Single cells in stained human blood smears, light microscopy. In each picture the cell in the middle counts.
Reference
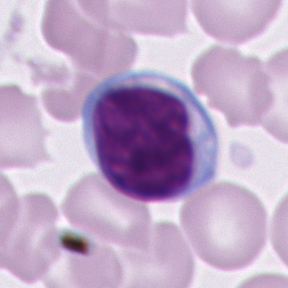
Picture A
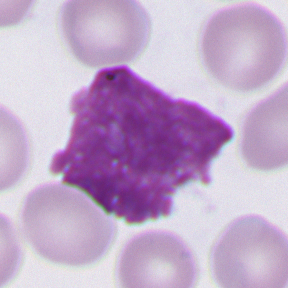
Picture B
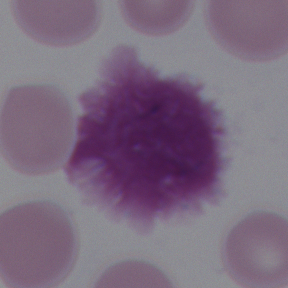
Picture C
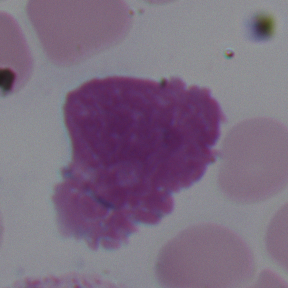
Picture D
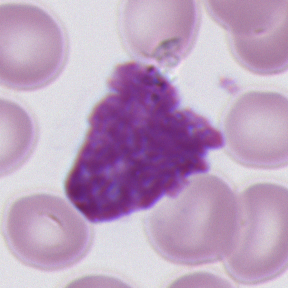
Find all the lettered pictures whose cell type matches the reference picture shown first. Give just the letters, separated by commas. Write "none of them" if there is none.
none of them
